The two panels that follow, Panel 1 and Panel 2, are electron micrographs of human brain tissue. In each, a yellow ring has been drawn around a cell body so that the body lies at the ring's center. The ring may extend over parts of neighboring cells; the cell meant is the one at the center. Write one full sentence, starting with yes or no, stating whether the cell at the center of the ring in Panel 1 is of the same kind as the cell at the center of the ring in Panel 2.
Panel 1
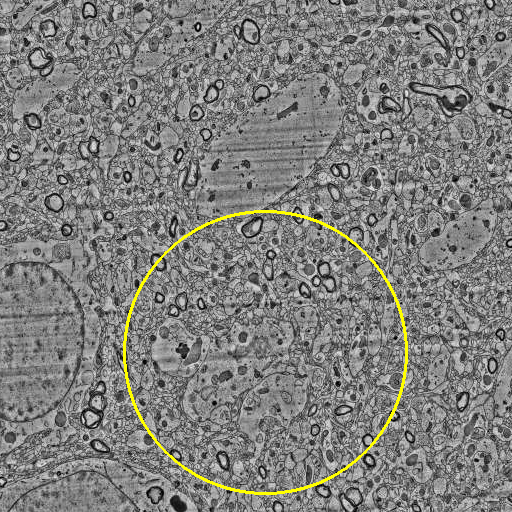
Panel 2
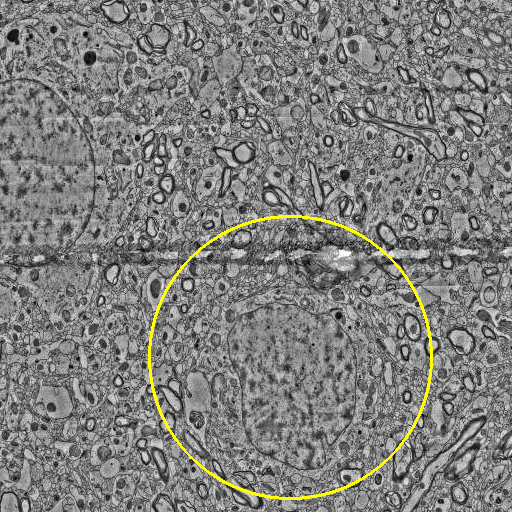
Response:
Yes, the cells in both panels are of the same kind.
